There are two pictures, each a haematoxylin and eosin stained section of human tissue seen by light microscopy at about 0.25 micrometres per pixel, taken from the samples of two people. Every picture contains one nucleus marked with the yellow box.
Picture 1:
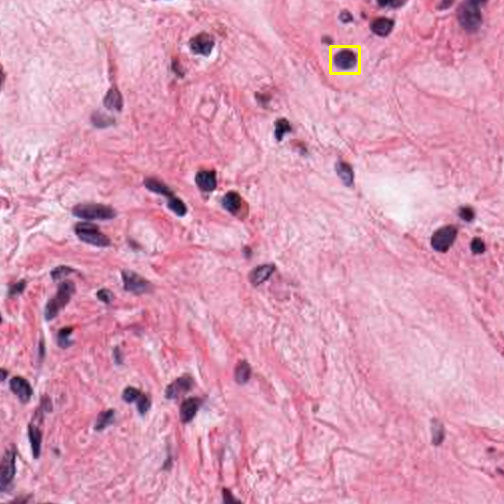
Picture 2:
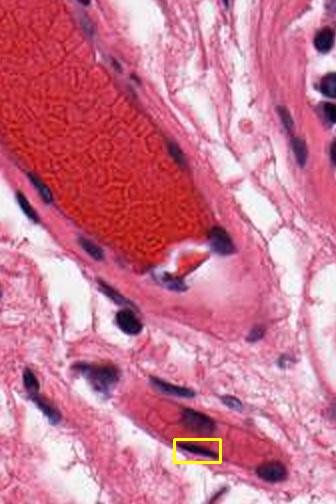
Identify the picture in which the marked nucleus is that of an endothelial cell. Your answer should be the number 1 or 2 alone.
2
